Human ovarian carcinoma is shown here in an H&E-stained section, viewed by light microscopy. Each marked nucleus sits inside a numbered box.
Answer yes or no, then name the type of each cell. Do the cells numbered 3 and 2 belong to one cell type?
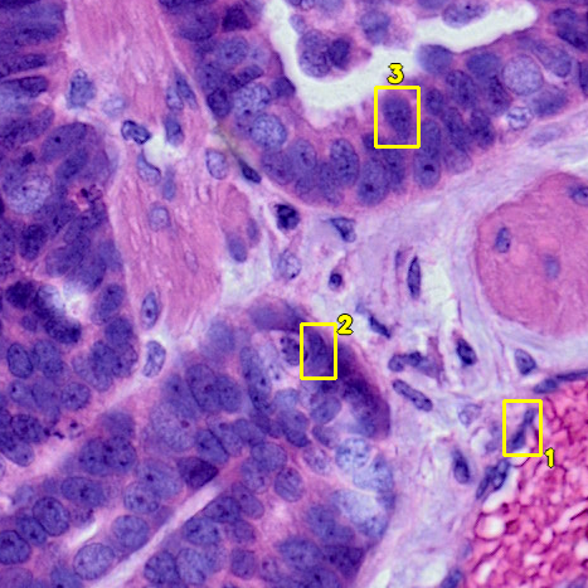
Yes, both are carcinoma cells.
